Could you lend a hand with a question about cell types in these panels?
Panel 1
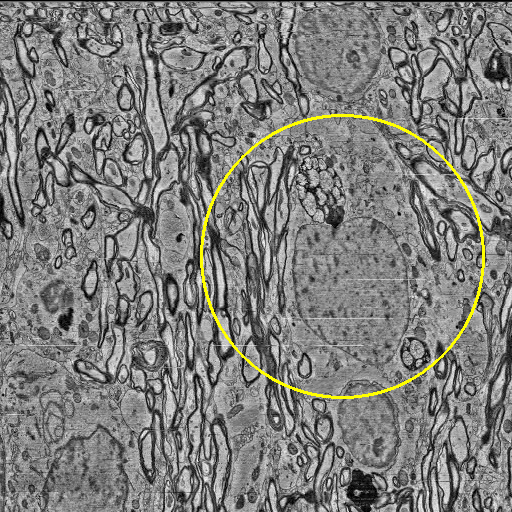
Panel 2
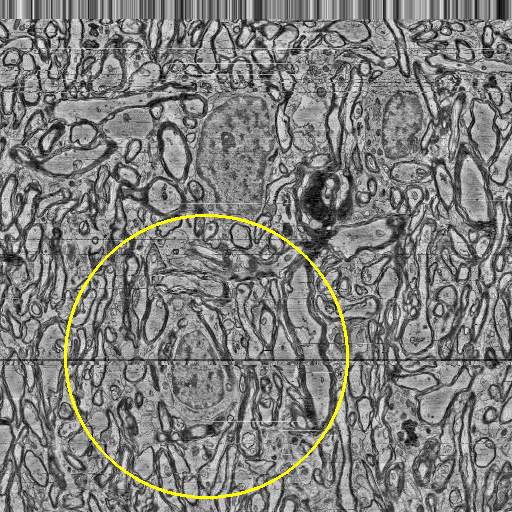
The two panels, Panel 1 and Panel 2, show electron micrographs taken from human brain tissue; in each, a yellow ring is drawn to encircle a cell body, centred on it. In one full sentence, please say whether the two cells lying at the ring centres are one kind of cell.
No, the cells at the ring centres in the two panels are two kinds of cell.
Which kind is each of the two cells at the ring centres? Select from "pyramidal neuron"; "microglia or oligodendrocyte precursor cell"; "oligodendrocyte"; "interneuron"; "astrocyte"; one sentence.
The cell at the centre of the ring is an astrocyte in the first picture and a microglial cell or oligodendrocyte precursor cell in the second.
